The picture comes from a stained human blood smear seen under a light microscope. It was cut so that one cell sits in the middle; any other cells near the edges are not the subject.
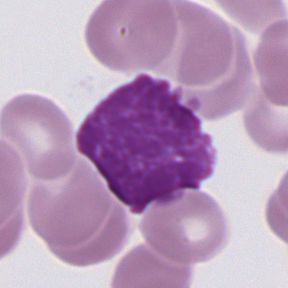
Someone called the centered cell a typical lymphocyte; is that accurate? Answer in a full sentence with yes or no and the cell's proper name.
No, it isn't a typical lymphocyte; what sits in the middle is a smudge cell.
